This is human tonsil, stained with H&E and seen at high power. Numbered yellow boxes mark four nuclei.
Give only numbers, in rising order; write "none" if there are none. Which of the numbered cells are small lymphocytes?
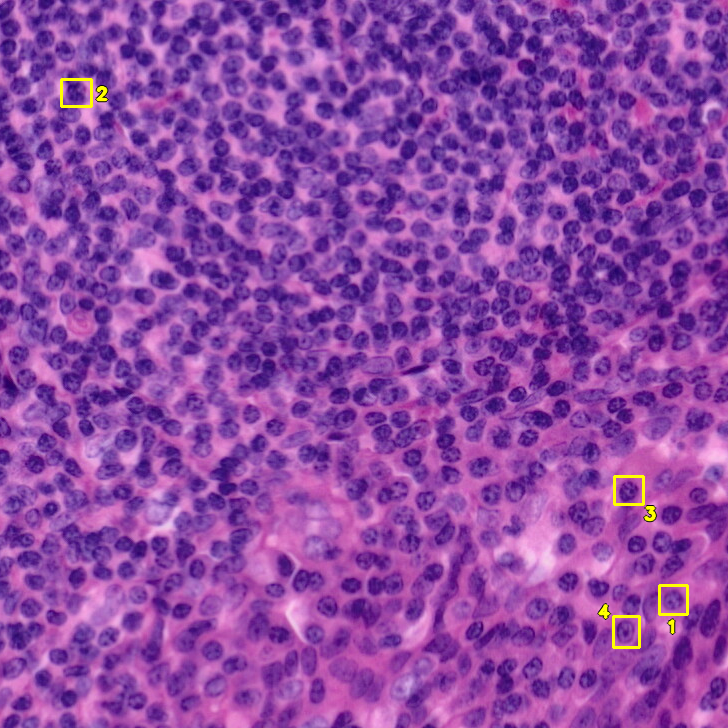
2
